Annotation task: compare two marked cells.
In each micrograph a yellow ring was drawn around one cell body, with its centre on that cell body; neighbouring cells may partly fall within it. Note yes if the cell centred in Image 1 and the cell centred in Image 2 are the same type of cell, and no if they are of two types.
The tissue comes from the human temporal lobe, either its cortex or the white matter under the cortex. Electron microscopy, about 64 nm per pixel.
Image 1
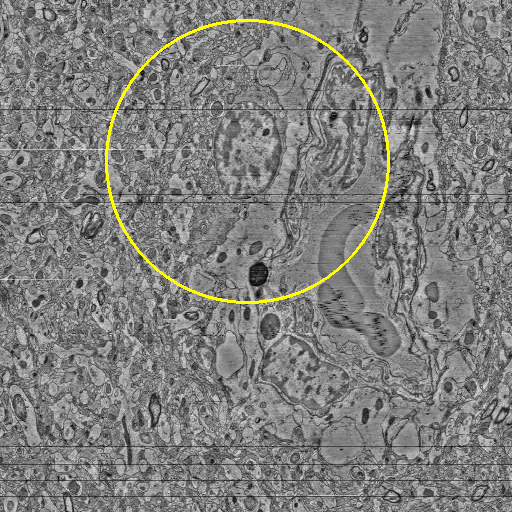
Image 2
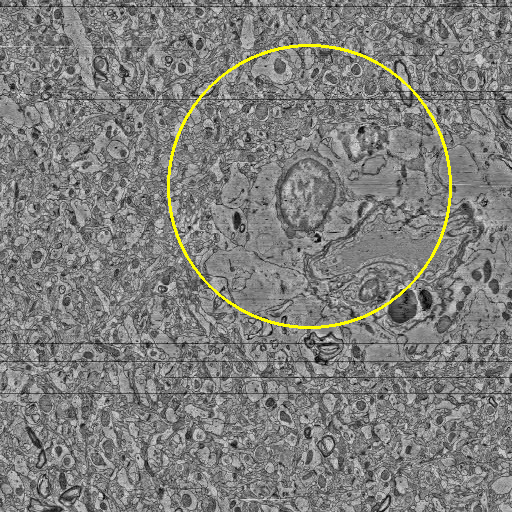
yes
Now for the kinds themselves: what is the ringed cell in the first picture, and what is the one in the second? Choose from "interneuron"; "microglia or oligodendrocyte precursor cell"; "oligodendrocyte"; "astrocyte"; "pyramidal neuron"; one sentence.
In each picture the ringed cell is an oligodendrocyte.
